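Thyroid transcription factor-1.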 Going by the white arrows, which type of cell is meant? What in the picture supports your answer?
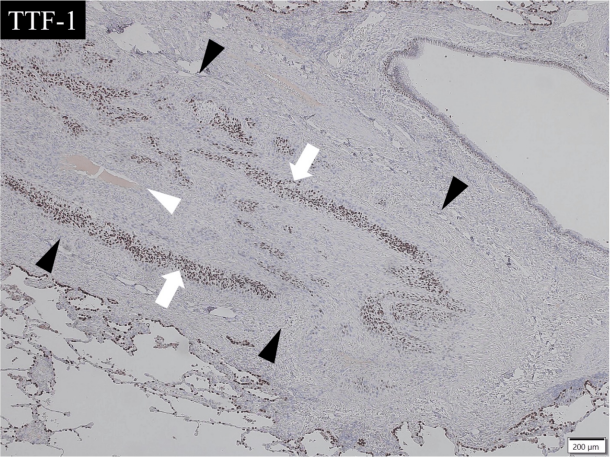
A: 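The white arrows point to elongated clusters of brown-stained nuclei. The surrounding fibrous tissue has pale blue, unstained nuclei. The answer: Tumor cells.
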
